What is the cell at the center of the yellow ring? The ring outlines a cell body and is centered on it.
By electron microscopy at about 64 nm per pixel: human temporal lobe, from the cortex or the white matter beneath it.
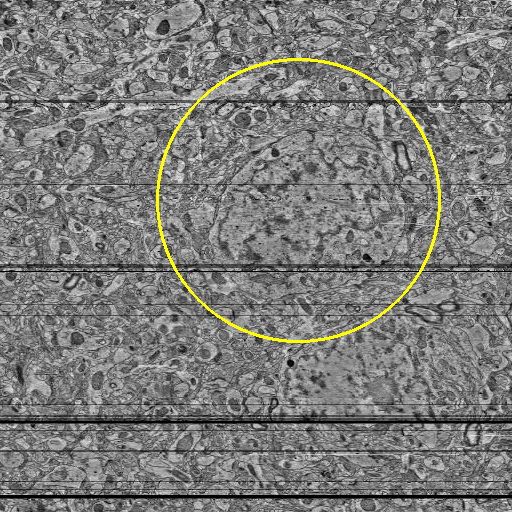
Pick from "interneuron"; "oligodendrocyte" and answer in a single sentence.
The yellow ring is centered on an interneuron.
